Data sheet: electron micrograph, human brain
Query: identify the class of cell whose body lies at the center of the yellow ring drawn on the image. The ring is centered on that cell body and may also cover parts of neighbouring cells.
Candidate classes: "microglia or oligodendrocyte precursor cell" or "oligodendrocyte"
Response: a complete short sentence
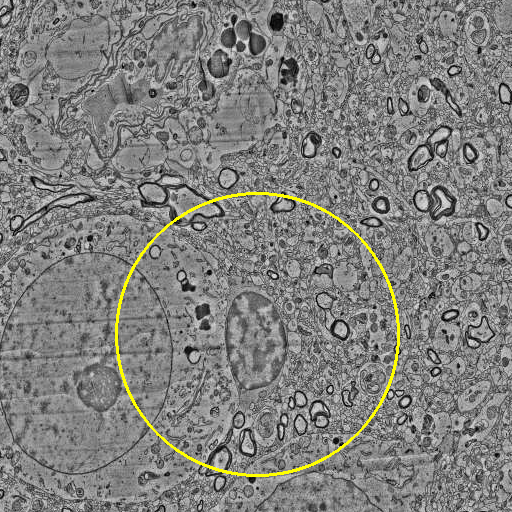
At the center of the ring lies an oligodendrocyte.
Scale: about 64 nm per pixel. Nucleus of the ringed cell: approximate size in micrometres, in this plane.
The nucleus measures about 6 by 4 micrometres, so it is clearly longer than it is wide in this plane.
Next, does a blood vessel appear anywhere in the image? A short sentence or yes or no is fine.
Yes, a blood vessel shows in the picture.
